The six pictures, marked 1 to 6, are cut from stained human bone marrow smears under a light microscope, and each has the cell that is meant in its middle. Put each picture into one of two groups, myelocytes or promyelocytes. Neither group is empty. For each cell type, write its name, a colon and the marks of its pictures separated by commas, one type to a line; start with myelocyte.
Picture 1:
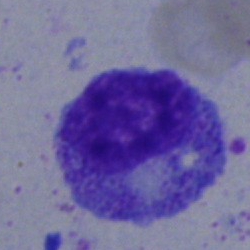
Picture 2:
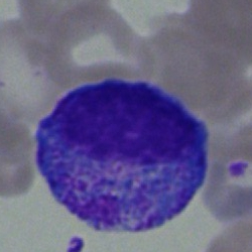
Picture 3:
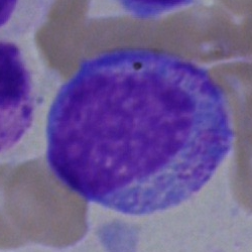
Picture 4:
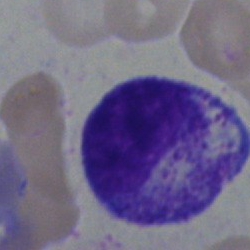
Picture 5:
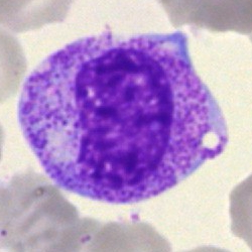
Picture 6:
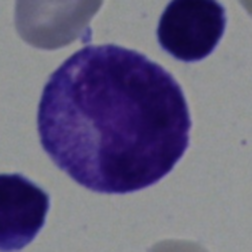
myelocyte: 1, 4, 5
promyelocyte: 2, 3, 6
